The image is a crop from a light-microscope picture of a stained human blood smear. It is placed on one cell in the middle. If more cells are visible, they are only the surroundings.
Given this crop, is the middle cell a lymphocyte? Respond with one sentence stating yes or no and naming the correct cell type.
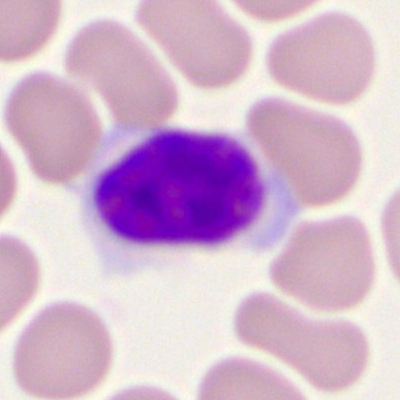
Yes, the cell shown at the crop's centre is a lymphocyte.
